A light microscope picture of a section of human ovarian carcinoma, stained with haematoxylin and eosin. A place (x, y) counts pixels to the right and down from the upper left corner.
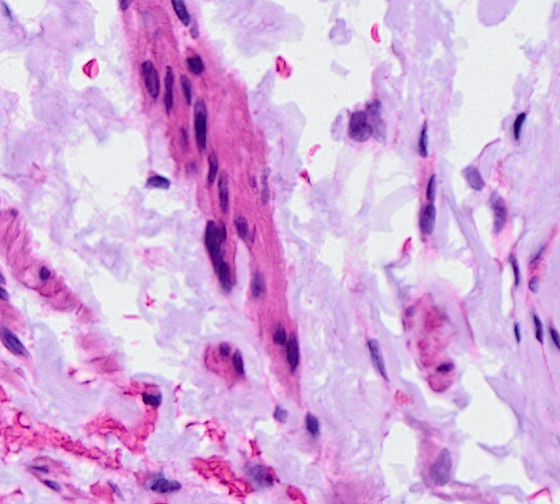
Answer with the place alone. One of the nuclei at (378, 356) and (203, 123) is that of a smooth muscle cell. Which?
(203, 123)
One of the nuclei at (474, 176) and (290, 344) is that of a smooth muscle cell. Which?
(290, 344)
